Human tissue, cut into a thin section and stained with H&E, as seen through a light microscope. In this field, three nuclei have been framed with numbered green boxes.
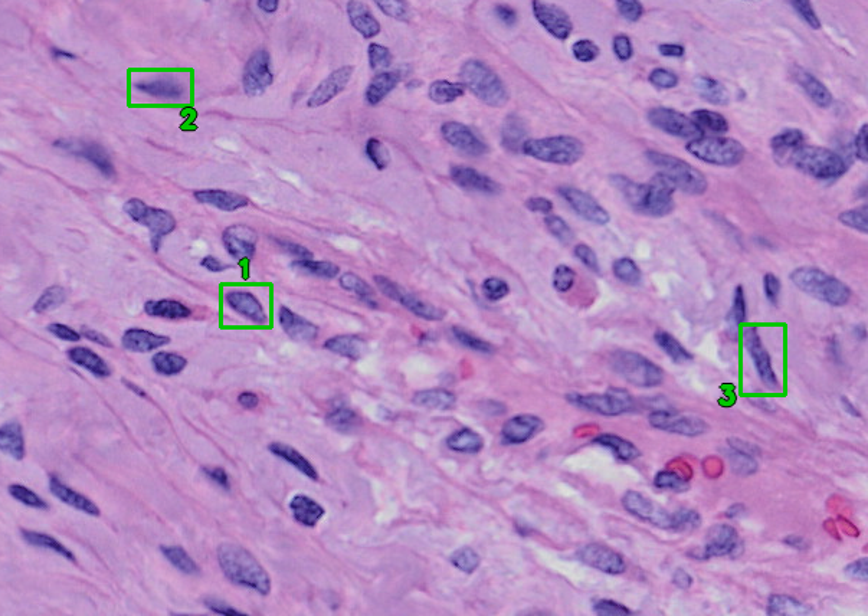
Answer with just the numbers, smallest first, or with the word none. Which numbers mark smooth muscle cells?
1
